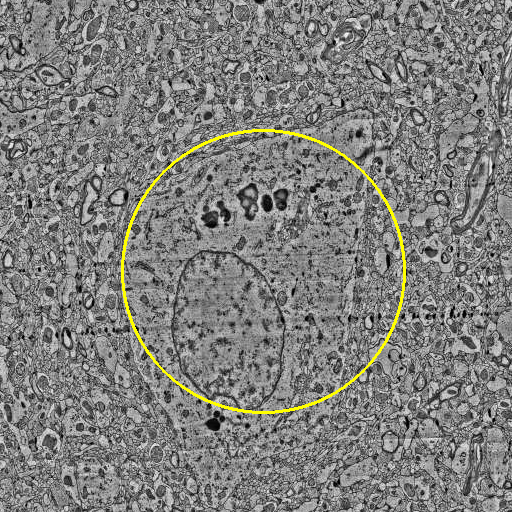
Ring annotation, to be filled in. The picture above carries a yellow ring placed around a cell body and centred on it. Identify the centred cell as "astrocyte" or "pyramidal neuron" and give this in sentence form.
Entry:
The cell in the middle of the ring is a pyramidal neuron.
